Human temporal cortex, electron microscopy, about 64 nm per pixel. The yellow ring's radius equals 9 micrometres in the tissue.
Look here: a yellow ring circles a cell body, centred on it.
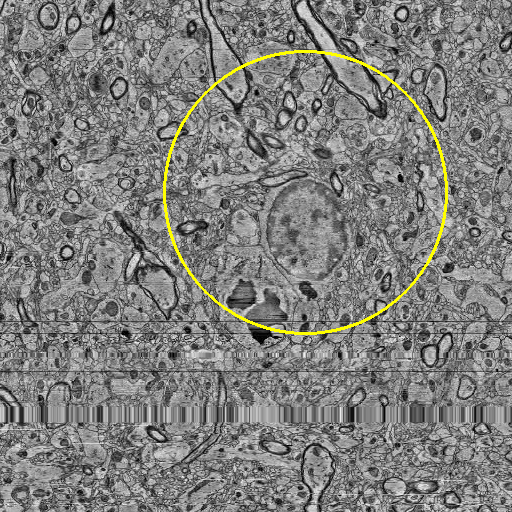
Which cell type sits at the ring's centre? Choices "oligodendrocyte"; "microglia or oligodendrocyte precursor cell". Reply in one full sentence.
The cell at the centre of the yellow ring in the picture is an oligodendrocyte.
